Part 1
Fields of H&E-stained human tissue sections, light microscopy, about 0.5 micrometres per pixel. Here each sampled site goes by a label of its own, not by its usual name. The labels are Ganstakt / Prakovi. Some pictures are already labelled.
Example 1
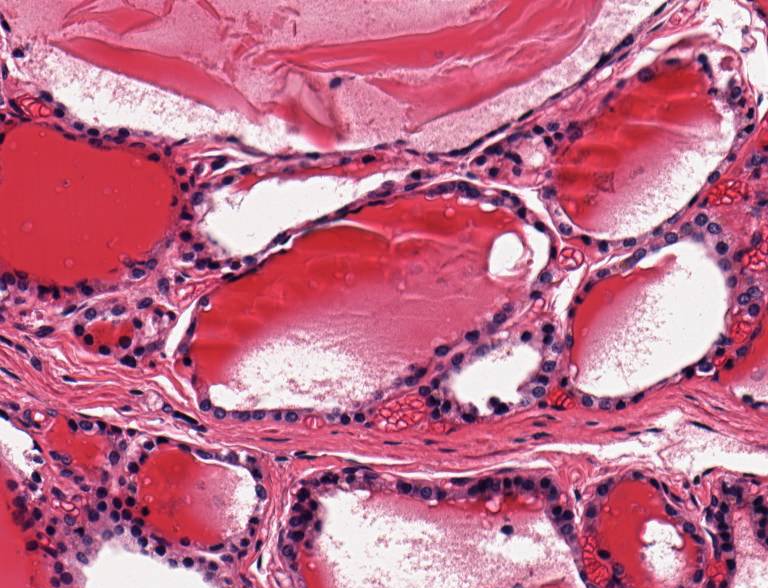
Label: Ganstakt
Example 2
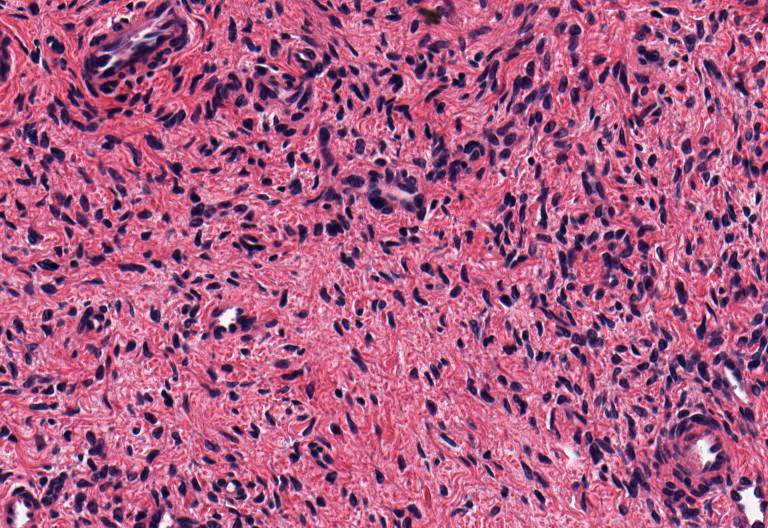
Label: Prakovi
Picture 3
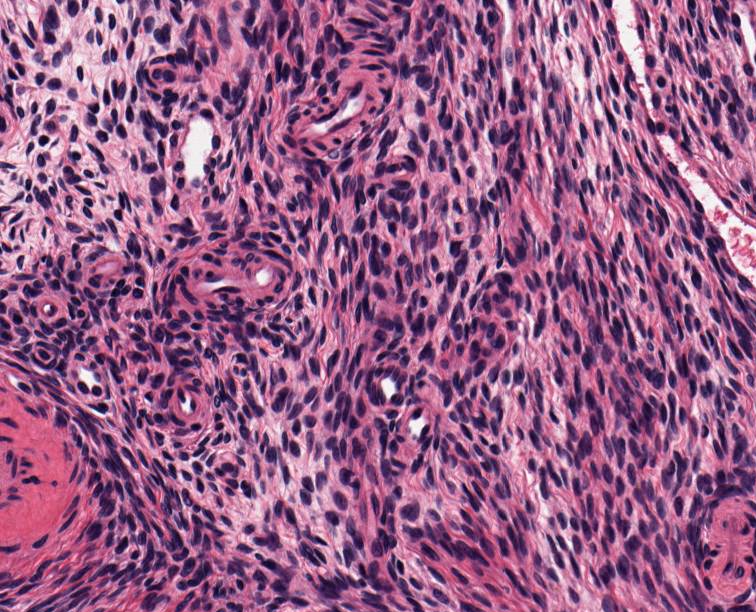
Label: Prakovi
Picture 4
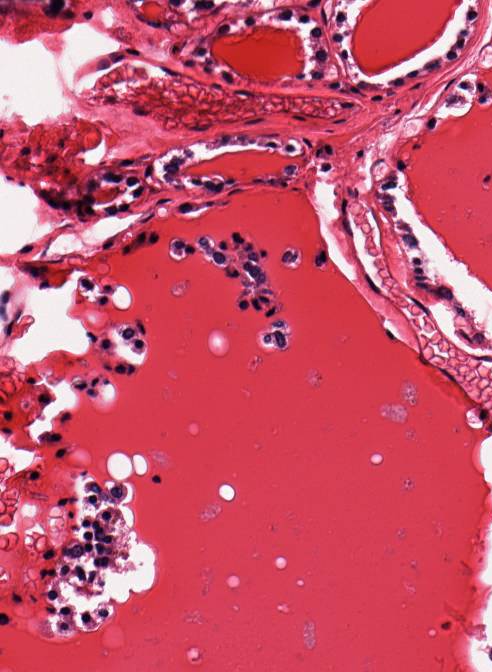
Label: Ganstakt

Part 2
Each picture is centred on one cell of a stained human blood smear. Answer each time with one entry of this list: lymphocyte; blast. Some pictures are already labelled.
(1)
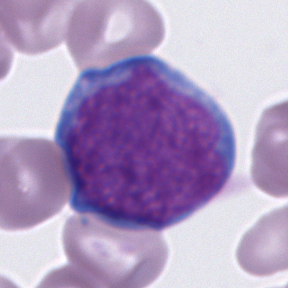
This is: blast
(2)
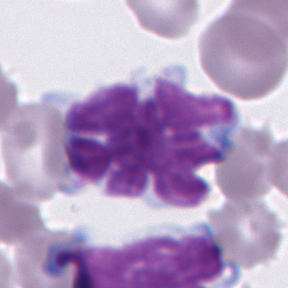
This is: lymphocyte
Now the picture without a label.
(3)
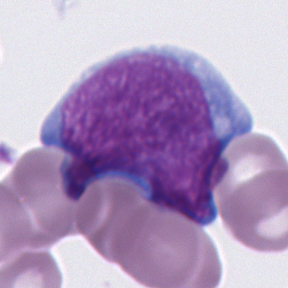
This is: blast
